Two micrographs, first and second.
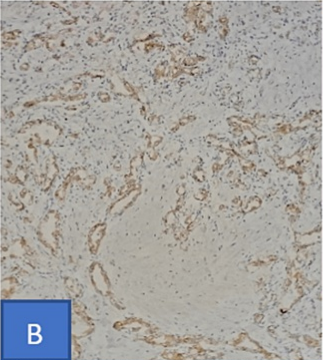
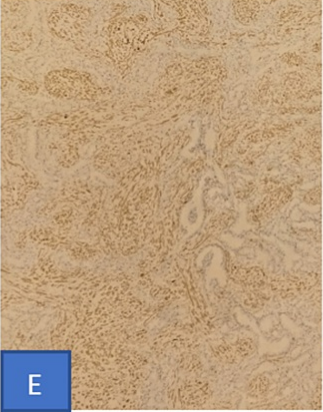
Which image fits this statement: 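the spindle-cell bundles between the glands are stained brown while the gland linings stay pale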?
The second image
